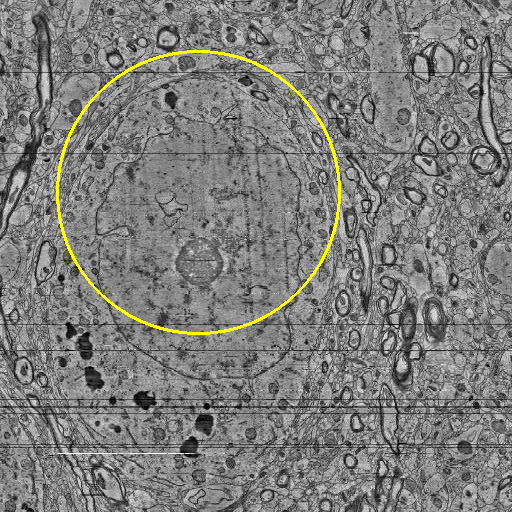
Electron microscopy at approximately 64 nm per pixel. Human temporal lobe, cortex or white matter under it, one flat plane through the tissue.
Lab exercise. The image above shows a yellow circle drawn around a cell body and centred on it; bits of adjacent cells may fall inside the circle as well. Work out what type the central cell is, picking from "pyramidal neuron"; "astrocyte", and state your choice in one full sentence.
In the image above, the cell at the centre of the yellow circle is a pyramidal neuron.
